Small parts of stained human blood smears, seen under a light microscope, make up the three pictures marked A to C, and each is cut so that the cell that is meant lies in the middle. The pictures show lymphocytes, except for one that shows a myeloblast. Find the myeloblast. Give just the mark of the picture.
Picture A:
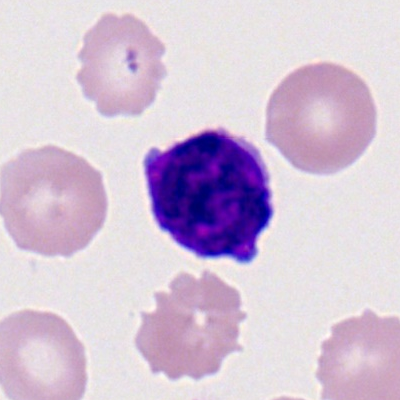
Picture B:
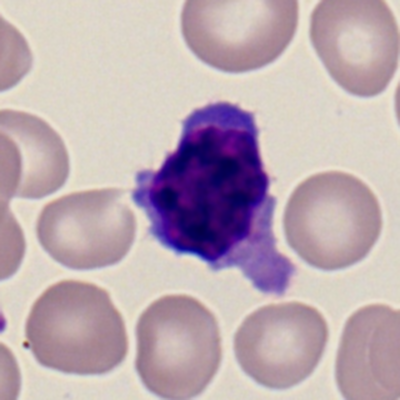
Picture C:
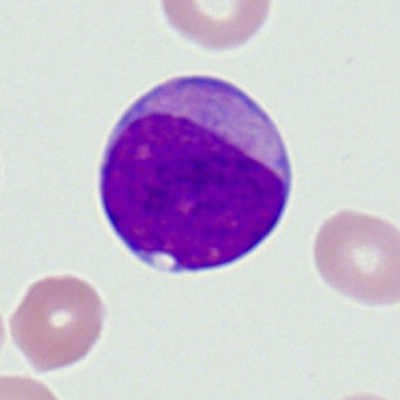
C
